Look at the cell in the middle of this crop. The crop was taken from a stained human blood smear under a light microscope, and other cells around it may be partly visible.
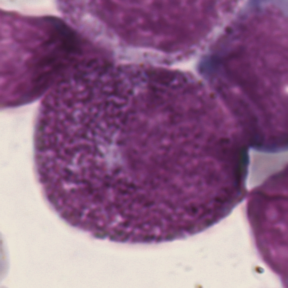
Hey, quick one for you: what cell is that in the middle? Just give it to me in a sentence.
To answer, the cell in the center of the crop is a promyelocyte.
